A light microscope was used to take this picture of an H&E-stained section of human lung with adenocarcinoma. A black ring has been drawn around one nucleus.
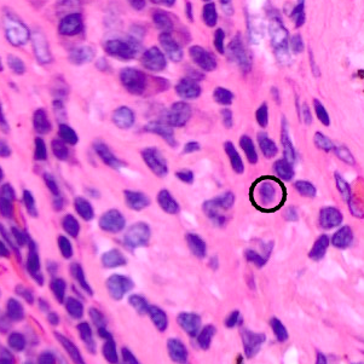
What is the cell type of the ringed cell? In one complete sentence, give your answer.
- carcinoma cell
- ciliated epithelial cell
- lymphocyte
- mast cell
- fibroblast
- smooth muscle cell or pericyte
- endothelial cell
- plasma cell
By cell type, the ringed cell is a lymphocyte.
